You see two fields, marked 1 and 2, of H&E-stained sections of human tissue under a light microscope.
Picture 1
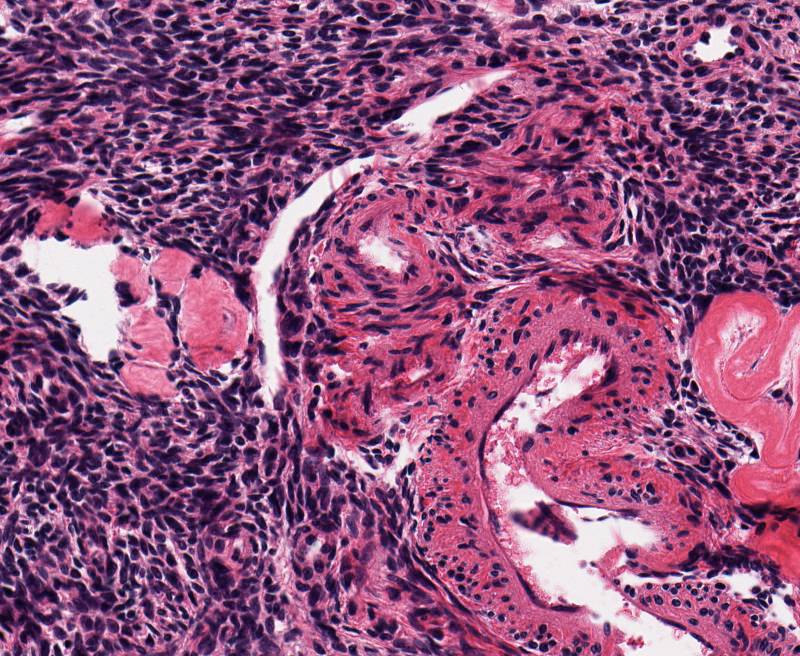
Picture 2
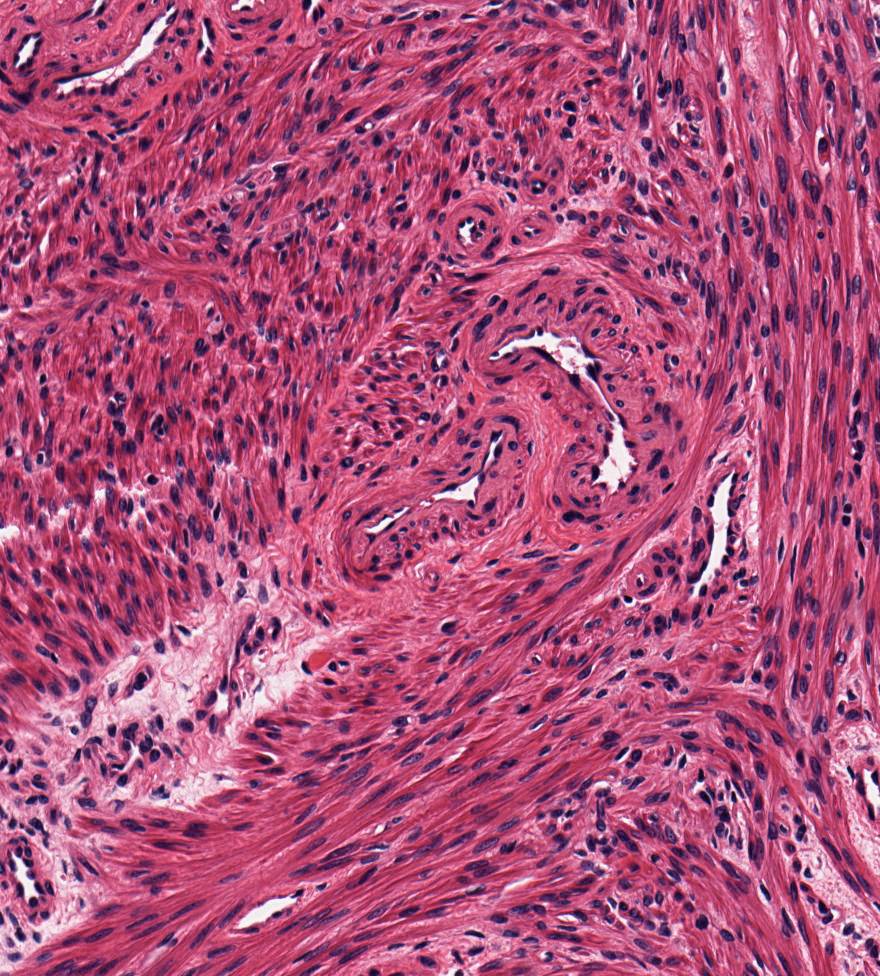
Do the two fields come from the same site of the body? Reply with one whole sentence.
No, they differ: picture 1 comes from the ovary, and picture 2 comes from the body of the uterus.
